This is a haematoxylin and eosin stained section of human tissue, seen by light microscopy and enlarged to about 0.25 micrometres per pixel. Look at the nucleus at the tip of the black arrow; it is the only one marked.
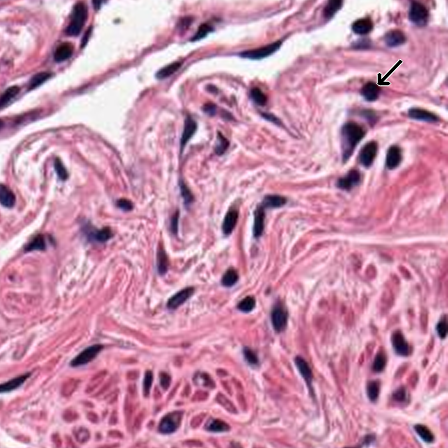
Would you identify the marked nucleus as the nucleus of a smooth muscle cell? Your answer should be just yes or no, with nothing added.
no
